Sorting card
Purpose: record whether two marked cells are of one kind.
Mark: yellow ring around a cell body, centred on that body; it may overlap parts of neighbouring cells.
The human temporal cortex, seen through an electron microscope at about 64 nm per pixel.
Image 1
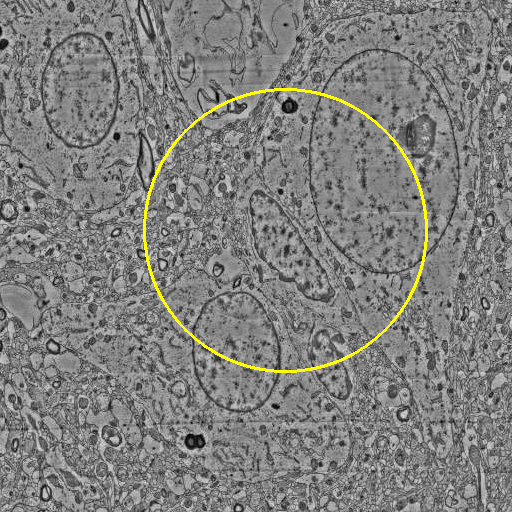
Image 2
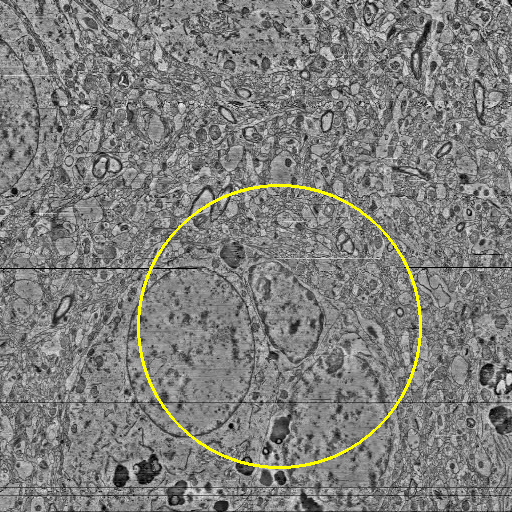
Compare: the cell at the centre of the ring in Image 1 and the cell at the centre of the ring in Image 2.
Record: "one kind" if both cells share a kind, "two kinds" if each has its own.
one kind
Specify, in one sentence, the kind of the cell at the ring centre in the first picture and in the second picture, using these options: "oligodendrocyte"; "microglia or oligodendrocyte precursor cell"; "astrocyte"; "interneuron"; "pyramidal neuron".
Each one of the two ringed cells is a microglial cell or oligodendrocyte precursor cell.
